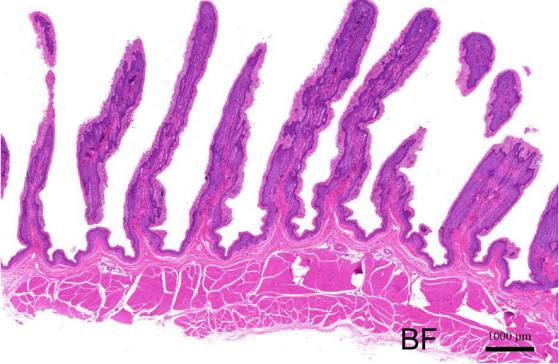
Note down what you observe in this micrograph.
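This is a section of rumen wall stained with hematoxylin and eosin, showing a row of tall, slender papillae projecting from the mucosal surface. Each papilla is lined by a dark purple stratified epithelium that wraps around a narrow pink core of connective tissue. The papillae are long and leaf-like, standing roughly parallel to one another with open spaces between them, and some are cut obliquely so that only their tips appear. At their bases the papillae arise from a thin mucosal layer, below which lies a band of pink-staining muscle bundles separated by pale clefts.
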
